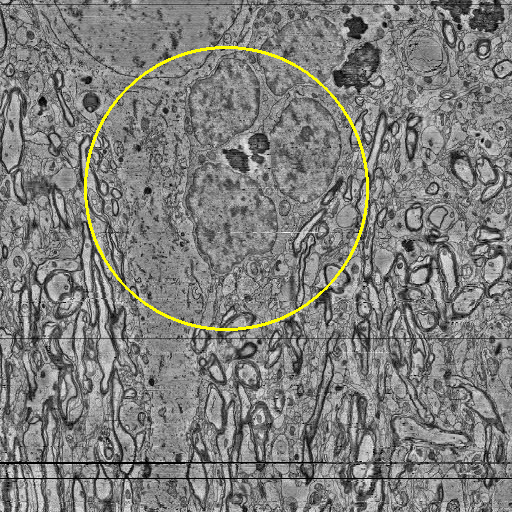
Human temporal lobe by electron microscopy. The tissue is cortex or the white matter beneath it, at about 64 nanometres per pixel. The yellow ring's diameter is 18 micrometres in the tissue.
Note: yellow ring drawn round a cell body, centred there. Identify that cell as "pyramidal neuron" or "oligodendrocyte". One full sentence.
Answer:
The cell in the middle of the ring is an oligodendrocyte.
